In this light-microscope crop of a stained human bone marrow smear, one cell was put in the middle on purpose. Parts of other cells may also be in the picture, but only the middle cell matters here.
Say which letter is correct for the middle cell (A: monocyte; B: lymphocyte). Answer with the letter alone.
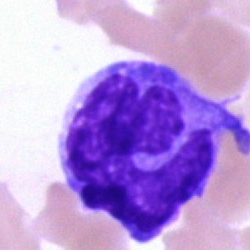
A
